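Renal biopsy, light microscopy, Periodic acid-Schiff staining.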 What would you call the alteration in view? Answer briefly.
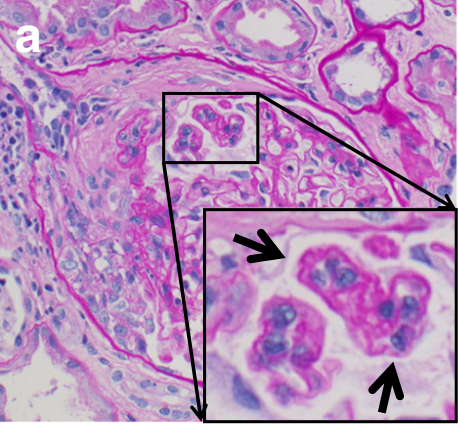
Cellular crescent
